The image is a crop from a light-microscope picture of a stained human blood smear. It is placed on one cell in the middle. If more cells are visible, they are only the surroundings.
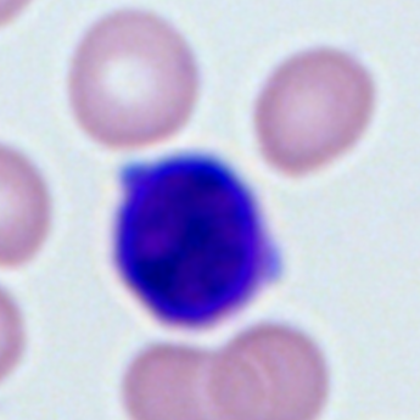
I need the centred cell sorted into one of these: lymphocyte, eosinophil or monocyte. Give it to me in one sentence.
The middle position in this crop is taken by a lymphocyte.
